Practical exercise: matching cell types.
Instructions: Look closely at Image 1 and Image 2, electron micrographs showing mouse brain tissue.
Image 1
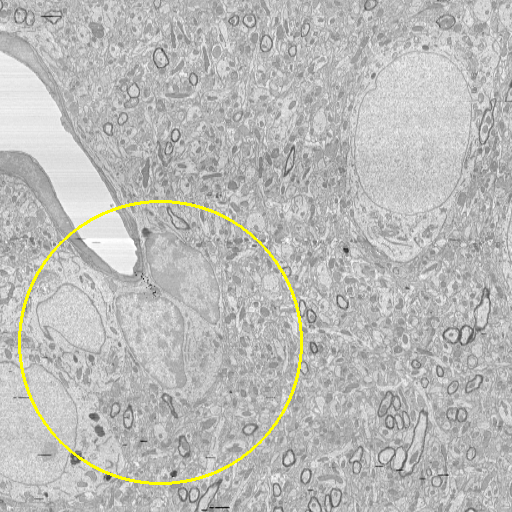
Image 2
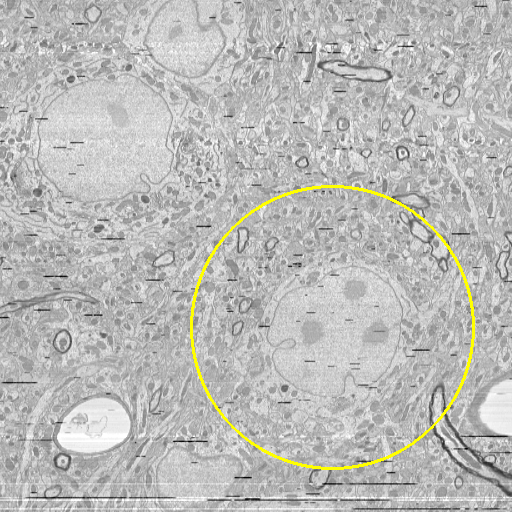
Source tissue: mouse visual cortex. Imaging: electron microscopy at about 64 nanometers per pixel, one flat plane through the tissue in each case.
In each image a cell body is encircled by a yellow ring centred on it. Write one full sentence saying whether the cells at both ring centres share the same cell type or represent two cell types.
Across Image 1 and Image 2, the cells at the ring centres represent two cell types.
